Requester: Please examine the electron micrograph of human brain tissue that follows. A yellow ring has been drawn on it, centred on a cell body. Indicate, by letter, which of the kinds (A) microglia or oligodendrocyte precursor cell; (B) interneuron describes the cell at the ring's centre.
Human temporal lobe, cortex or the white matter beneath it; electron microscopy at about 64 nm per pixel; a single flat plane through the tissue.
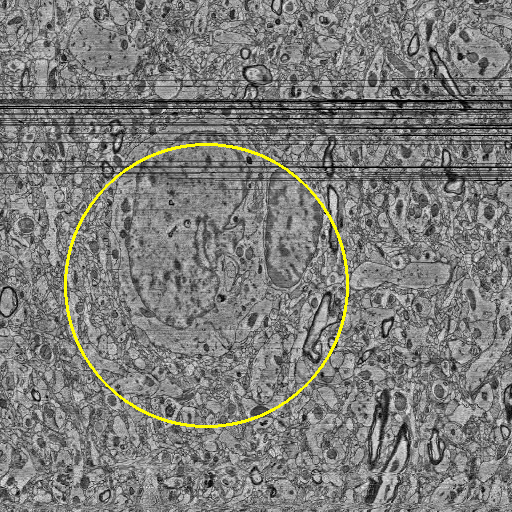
B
